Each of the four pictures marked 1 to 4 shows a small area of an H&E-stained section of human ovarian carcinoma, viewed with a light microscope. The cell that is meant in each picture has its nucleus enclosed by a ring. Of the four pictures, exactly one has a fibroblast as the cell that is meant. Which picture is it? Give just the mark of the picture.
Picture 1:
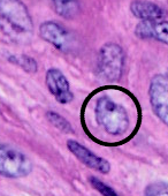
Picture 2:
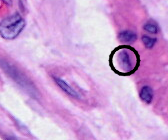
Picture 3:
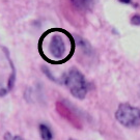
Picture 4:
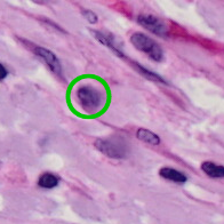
1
